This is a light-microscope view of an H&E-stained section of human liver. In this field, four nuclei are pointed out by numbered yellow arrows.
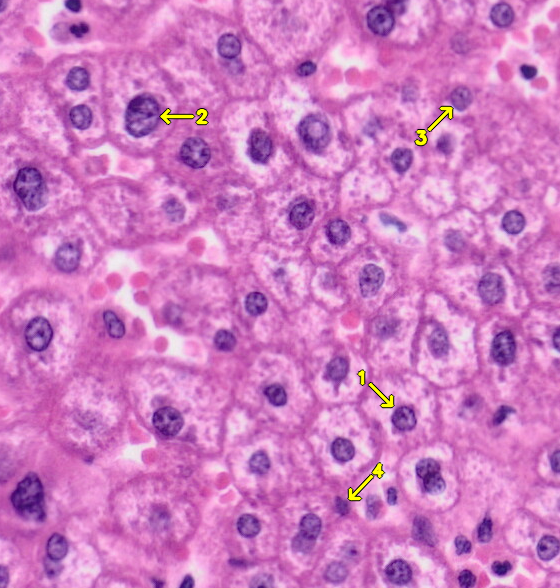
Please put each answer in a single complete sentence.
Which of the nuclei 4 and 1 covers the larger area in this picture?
The larger nucleus is 1, at roughly 2 times the area of 4.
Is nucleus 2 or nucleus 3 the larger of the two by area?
At about 3 times the area of nucleus 3, nucleus 2 is the larger of the two.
